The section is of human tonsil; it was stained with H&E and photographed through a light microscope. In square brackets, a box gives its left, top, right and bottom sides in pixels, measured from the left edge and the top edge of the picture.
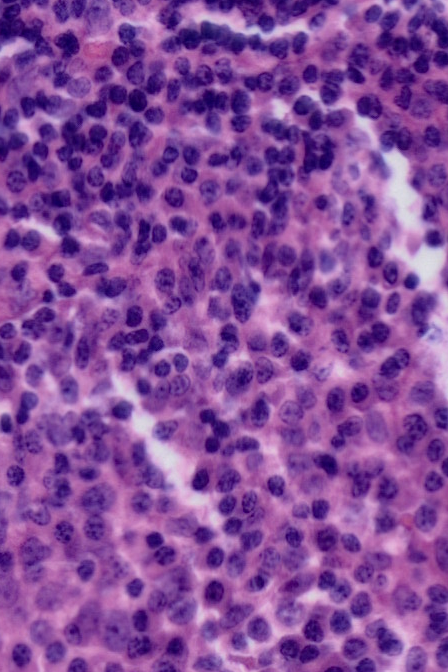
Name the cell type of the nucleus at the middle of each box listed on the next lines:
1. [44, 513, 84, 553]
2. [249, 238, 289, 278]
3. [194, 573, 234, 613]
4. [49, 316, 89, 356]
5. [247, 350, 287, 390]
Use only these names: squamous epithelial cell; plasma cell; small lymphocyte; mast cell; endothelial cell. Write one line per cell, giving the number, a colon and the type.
1: plasma cell
2: squamous epithelial cell
3: plasma cell
4: squamous epithelial cell
5: plasma cell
